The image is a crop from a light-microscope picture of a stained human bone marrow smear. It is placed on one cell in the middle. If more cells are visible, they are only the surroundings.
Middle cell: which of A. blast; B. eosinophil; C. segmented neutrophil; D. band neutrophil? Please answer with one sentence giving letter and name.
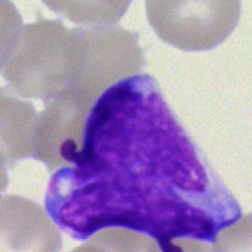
Option A is correct in that the central cell is a blast.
